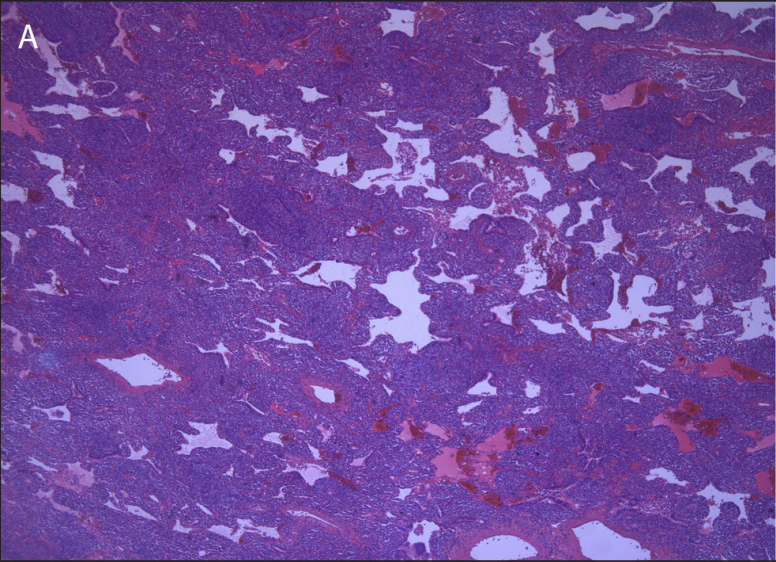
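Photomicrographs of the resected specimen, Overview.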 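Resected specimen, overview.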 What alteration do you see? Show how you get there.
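Thick, densely cellular purple bands fill most of the field. The remaining air spaces are small, irregular and compressed.
Diffusely strongly widened septa.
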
